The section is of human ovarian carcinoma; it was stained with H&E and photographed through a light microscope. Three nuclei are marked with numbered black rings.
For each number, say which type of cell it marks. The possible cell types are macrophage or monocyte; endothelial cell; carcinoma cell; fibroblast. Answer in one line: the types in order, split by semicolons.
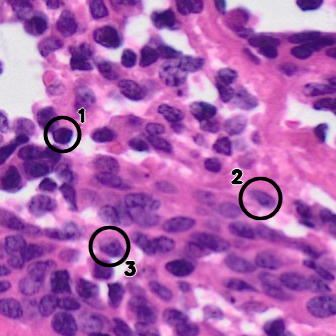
carcinoma cell; macrophage or monocyte; macrophage or monocyte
